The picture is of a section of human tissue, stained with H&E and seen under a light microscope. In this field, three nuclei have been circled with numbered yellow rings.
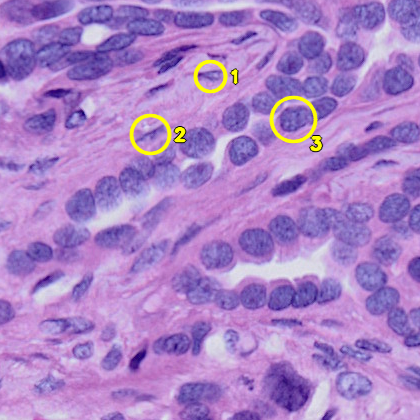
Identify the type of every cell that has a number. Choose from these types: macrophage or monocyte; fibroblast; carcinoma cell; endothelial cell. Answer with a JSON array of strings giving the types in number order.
["fibroblast", "fibroblast", "carcinoma cell"]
